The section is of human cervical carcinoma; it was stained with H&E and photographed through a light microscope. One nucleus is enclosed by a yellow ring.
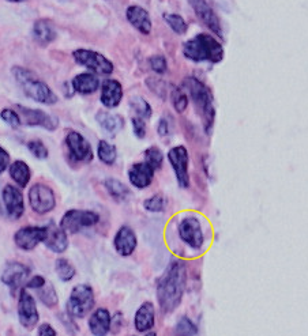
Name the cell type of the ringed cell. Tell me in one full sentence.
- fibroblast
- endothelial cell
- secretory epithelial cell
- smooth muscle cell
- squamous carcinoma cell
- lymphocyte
Considered by cell type, the ringed cell is a lymphocyte.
